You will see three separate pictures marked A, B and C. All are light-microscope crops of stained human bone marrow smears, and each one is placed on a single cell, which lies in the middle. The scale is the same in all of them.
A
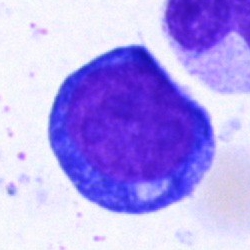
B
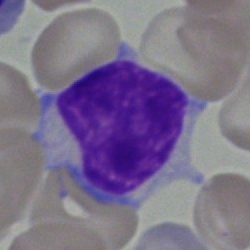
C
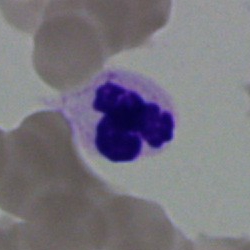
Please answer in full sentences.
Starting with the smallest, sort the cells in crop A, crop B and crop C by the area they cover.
Going up, they run C, B, A.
